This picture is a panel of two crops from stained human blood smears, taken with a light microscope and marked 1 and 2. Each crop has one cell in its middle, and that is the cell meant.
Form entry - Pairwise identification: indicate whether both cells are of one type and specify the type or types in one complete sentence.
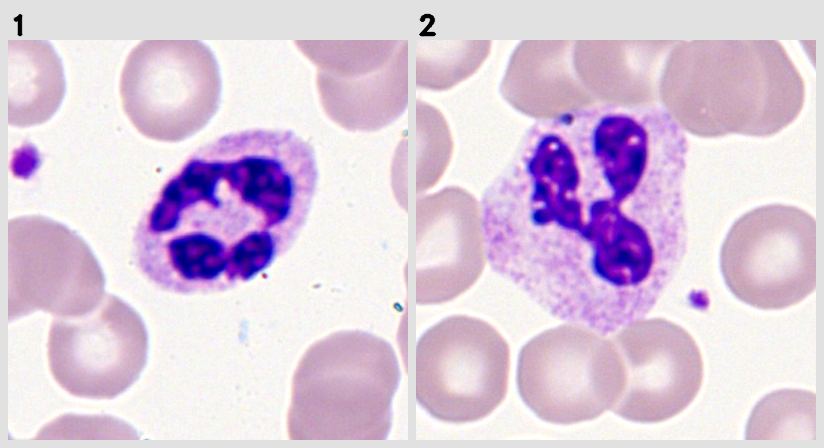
Yes, as shown in both crops, the central cells are segmented neutrophils.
